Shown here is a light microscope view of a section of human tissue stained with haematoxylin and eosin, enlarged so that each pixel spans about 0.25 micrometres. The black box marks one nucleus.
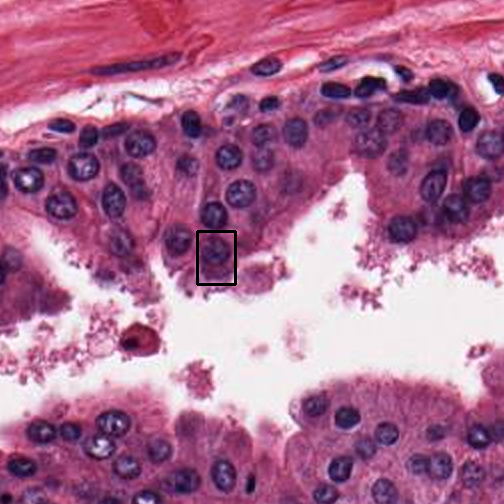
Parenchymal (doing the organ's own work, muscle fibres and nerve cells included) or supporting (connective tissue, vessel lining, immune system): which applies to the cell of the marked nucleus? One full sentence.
The marked nucleus belongs to a parenchymal cell, and this cell is a prostate gland luminal cell.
